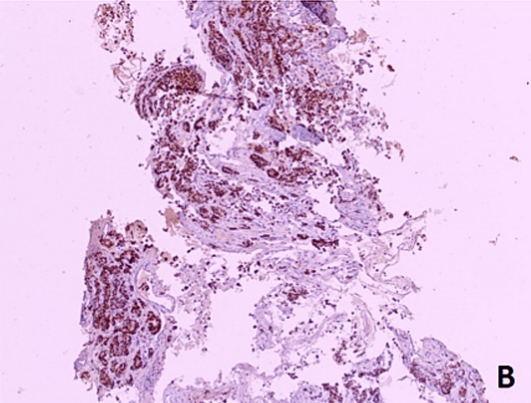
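This is a fragmented tissue sample of tumor cells arranged in nests and cords within fibrous stroma. The tumor cells are packed tightly in rounded and elongated clusters, and their nuclei stain brown. Parts of the sample are frayed and loosely held together, with small detached groups of brown cells at the edges.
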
